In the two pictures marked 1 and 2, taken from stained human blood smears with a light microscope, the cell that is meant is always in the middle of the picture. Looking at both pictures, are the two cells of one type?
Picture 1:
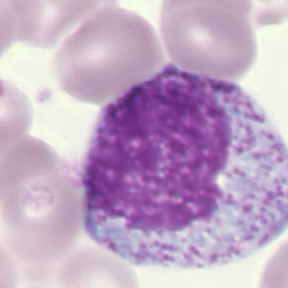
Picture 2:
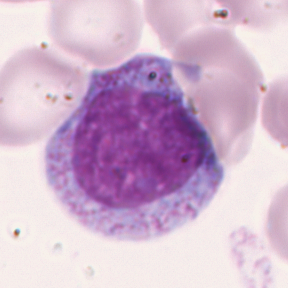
no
